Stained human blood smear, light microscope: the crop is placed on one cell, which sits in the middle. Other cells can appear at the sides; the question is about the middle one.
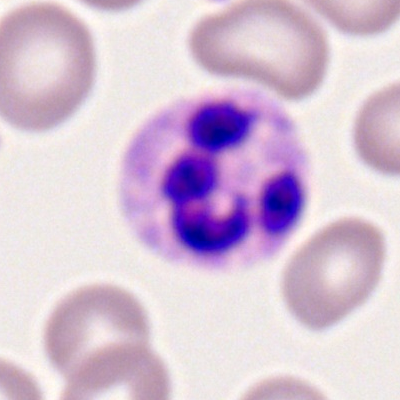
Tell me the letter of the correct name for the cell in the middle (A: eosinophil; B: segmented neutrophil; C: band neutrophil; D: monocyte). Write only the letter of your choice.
B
